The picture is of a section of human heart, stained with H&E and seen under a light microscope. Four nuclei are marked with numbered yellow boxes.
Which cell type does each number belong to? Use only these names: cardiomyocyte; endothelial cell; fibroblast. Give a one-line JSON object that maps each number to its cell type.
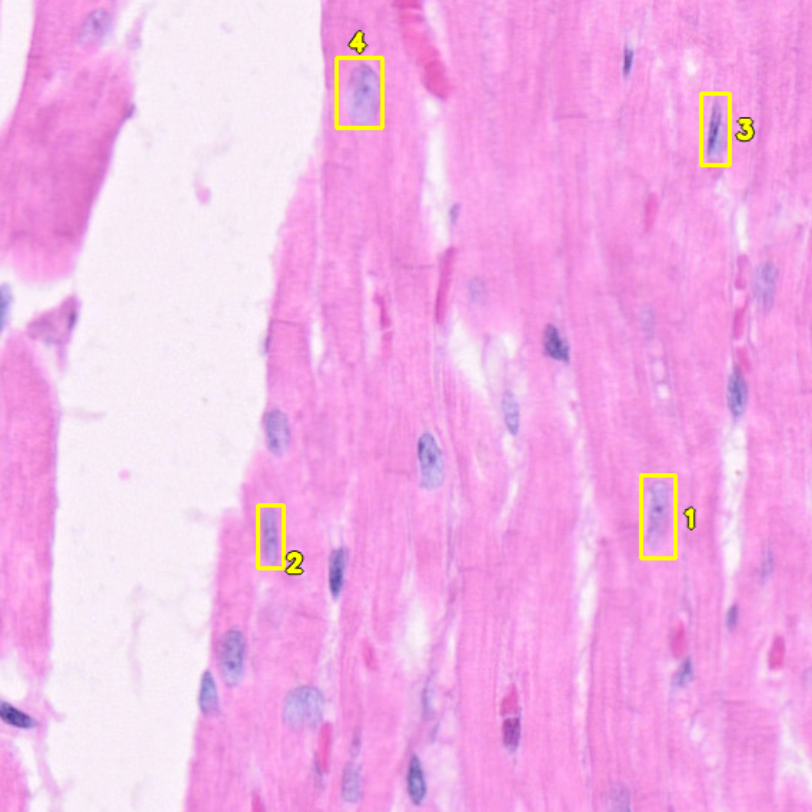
{"1": "cardiomyocyte", "2": "cardiomyocyte", "3": "endothelial cell", "4": "cardiomyocyte"}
